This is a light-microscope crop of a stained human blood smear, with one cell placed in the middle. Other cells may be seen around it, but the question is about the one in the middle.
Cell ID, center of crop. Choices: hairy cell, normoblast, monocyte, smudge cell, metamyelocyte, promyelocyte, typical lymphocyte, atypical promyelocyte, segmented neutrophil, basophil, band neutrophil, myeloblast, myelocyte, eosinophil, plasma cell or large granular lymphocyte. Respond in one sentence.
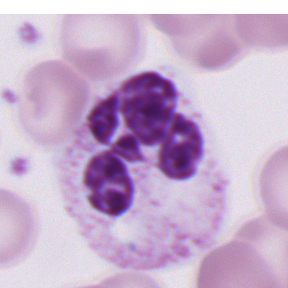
The crop shows a segmented neutrophil in its centre.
